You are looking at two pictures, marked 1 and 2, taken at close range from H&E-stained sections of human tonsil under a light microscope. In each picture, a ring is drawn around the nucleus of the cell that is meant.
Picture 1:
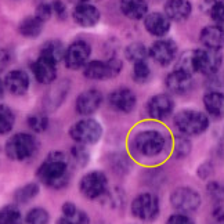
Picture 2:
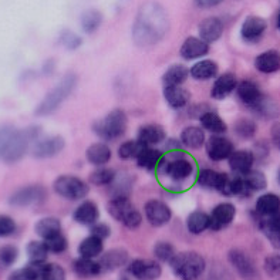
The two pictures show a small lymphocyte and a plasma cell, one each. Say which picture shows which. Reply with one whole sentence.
It is picture 1 that shows a plasma cell, and picture 2 that shows a small lymphocyte.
